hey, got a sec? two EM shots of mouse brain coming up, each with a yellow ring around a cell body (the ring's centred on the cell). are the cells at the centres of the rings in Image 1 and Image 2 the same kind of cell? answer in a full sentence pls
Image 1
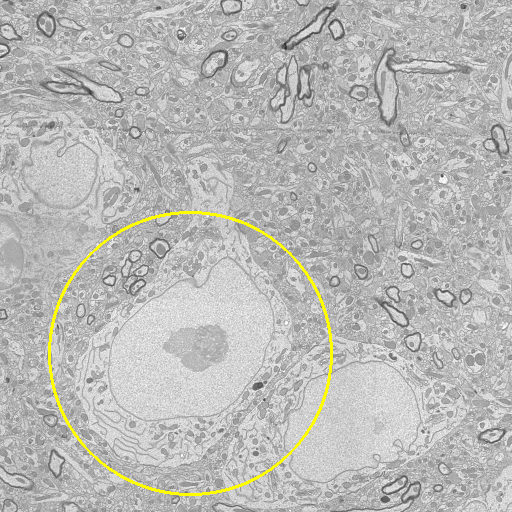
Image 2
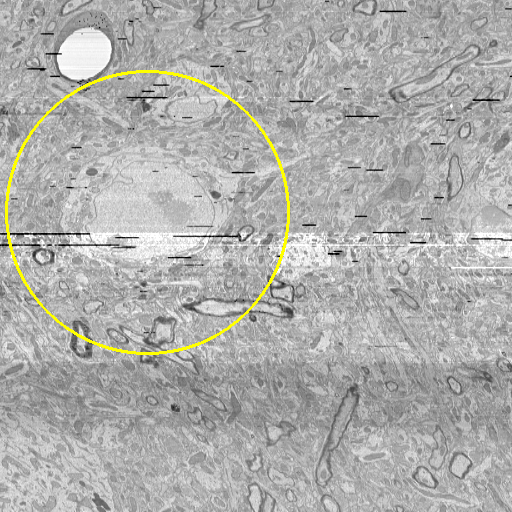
No, they are two kinds of cell.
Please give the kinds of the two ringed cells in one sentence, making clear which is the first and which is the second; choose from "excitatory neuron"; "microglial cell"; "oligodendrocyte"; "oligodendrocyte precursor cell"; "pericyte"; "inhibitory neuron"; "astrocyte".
In the second picture the ringed cell is an inhibitory neuron; in the first it is an excitatory neuron.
